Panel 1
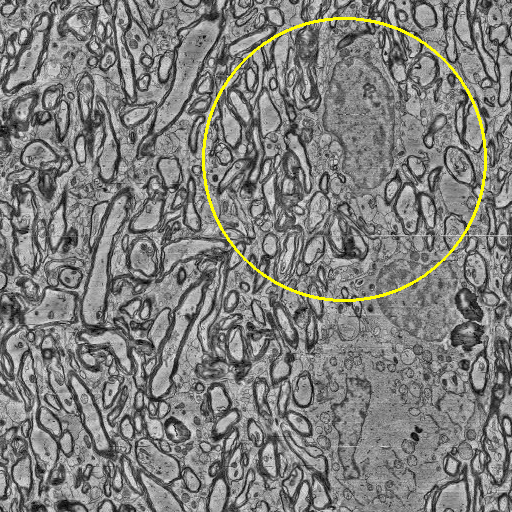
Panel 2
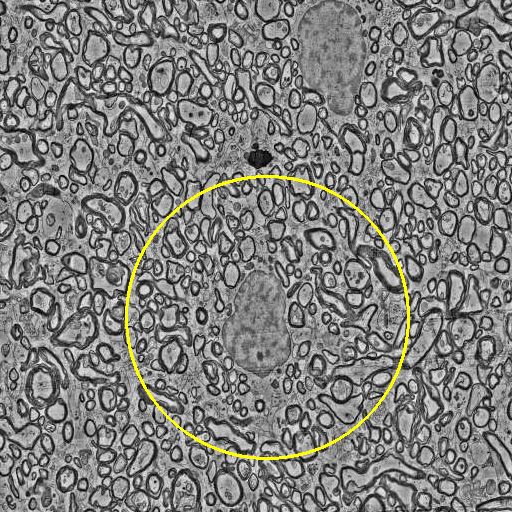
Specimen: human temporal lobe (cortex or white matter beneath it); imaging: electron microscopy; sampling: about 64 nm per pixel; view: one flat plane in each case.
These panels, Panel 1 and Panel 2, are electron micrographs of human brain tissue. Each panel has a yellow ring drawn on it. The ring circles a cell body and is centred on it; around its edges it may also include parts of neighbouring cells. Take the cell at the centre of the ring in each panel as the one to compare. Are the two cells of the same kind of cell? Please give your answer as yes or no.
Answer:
yes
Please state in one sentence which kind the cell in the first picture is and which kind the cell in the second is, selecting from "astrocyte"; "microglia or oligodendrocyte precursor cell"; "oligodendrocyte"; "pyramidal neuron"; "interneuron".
Each cell, in the first picture and the second, is an oligodendrocyte.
